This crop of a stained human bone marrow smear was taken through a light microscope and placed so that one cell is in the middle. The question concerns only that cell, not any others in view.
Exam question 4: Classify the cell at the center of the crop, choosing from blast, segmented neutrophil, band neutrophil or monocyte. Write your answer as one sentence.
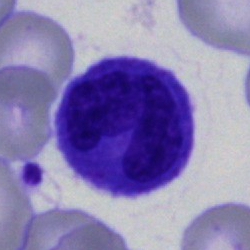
The middle of this crop is occupied by a monocyte.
